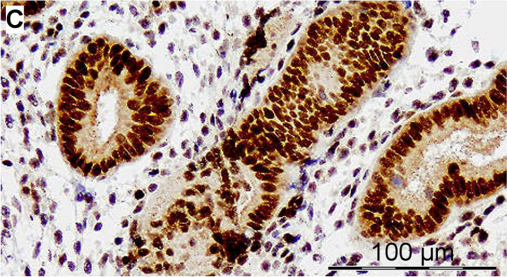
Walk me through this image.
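This is endometrium with several glands cut lengthwise and across, set in a cellular stroma. The glands are lined by tall columnar cells packed closely together, and their elongated nuclei are stained intensely dark brown, crowded in the lining so the glands look like dark rings around a pale lumen. The lumens hold some pale brownish material. The stroma between the glands is loose, with scattered oval and spindle-shaped cells whose nuclei are variably stained, some brown and others blue-purple.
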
